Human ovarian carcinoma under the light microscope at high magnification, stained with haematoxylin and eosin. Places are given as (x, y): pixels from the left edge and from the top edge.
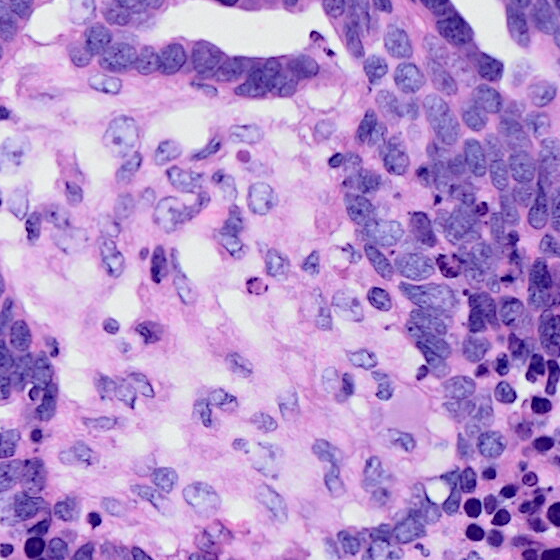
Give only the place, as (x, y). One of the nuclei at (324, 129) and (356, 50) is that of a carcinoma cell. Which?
(356, 50)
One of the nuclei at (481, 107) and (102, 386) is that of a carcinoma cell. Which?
(481, 107)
